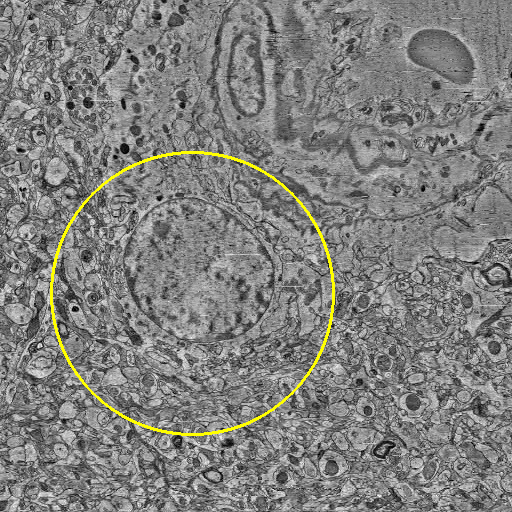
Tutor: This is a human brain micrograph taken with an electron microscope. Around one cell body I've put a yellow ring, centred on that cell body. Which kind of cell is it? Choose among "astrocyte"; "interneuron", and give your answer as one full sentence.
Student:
Going by your list, the cell centred in the yellow ring is an astrocyte.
